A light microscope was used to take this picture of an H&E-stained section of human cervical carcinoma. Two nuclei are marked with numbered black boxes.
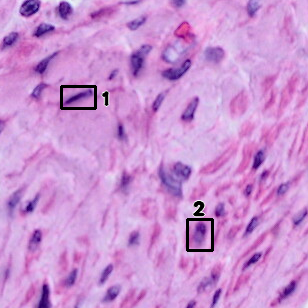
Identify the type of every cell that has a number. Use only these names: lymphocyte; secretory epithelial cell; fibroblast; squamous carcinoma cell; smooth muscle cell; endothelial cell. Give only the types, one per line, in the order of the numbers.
fibroblast
smooth muscle cell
